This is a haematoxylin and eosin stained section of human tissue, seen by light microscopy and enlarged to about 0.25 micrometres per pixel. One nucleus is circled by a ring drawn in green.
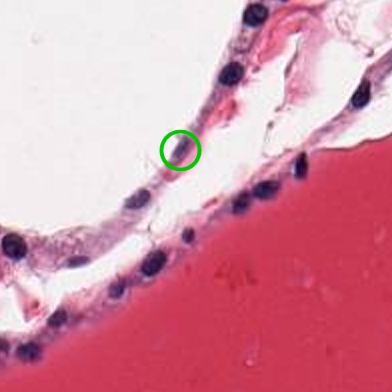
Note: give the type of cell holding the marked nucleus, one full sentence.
A nucleus of a thyroid follicular cell is the one that is marked.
